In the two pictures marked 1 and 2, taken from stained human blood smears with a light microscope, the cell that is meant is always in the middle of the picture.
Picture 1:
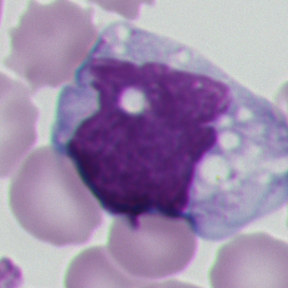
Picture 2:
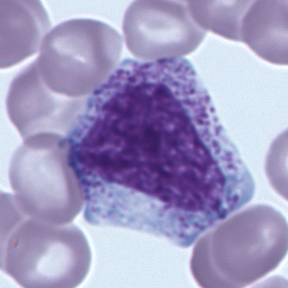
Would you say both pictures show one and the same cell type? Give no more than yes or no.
no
